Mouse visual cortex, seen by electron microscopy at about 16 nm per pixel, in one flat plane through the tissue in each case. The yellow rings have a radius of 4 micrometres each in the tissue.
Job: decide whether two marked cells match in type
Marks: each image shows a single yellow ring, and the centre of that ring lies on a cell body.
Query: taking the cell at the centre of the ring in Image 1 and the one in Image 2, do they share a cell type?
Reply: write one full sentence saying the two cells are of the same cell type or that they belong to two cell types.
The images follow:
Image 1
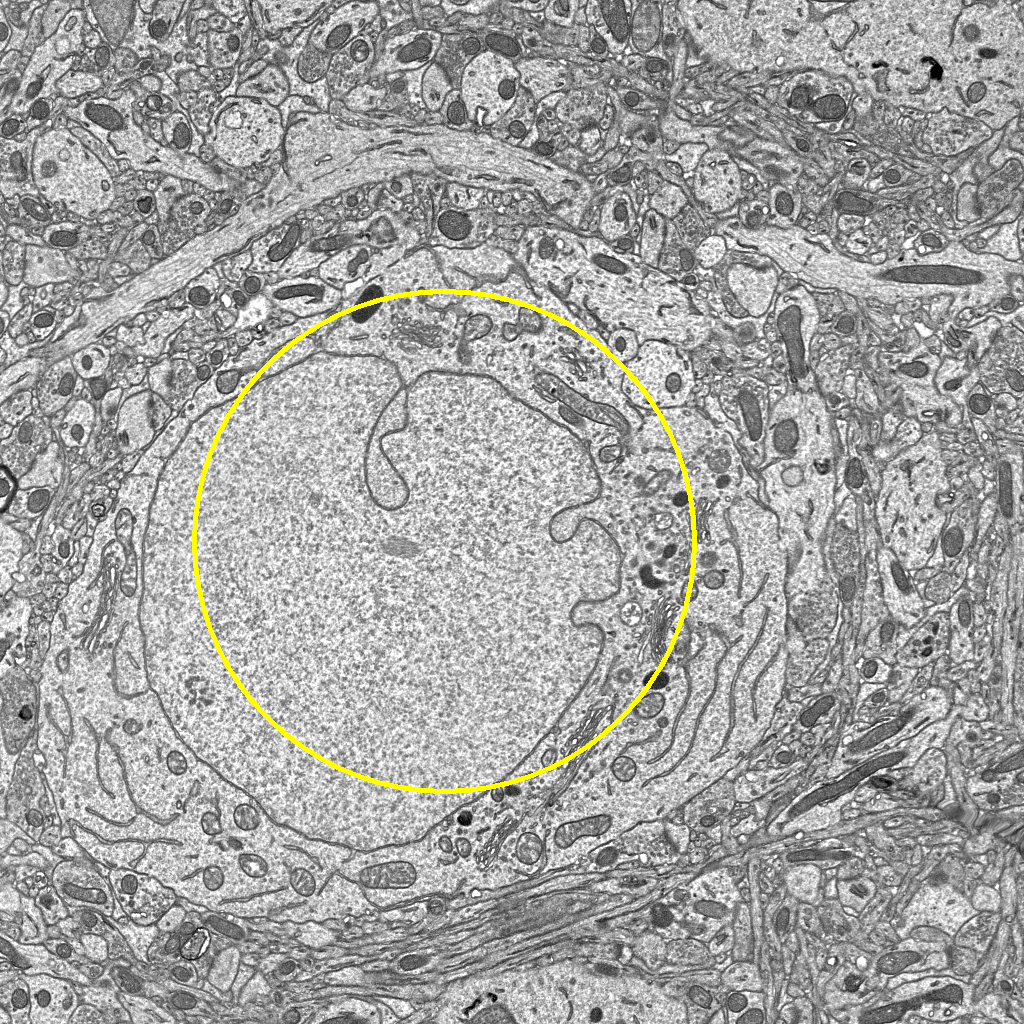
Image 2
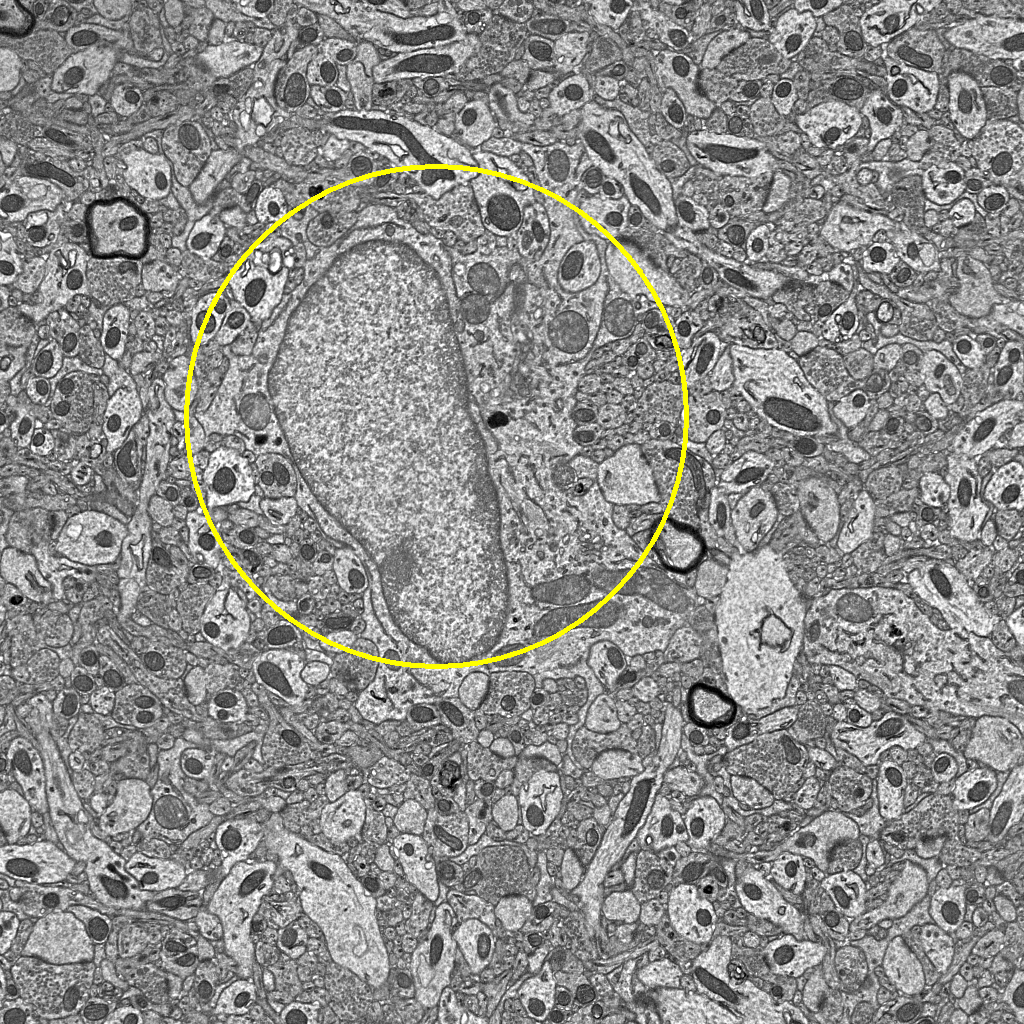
The cells at the ring centres in Image 1 and Image 2 belong to two cell types.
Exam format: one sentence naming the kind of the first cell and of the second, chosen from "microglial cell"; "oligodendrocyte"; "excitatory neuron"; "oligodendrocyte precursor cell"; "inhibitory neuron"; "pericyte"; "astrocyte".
Of the two, the first cell is an inhibitory neuron and the second cell is an astrocyte.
